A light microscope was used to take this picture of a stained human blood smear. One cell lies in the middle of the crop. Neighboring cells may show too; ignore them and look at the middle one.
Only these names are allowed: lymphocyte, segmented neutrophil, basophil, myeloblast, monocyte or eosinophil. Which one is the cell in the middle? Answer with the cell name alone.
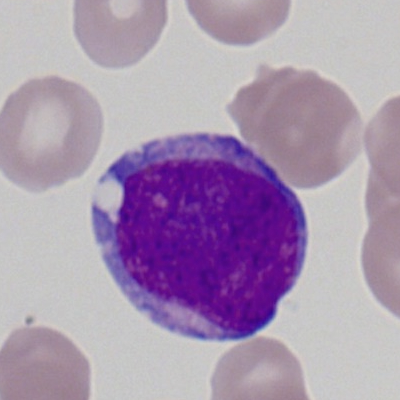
myeloblast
